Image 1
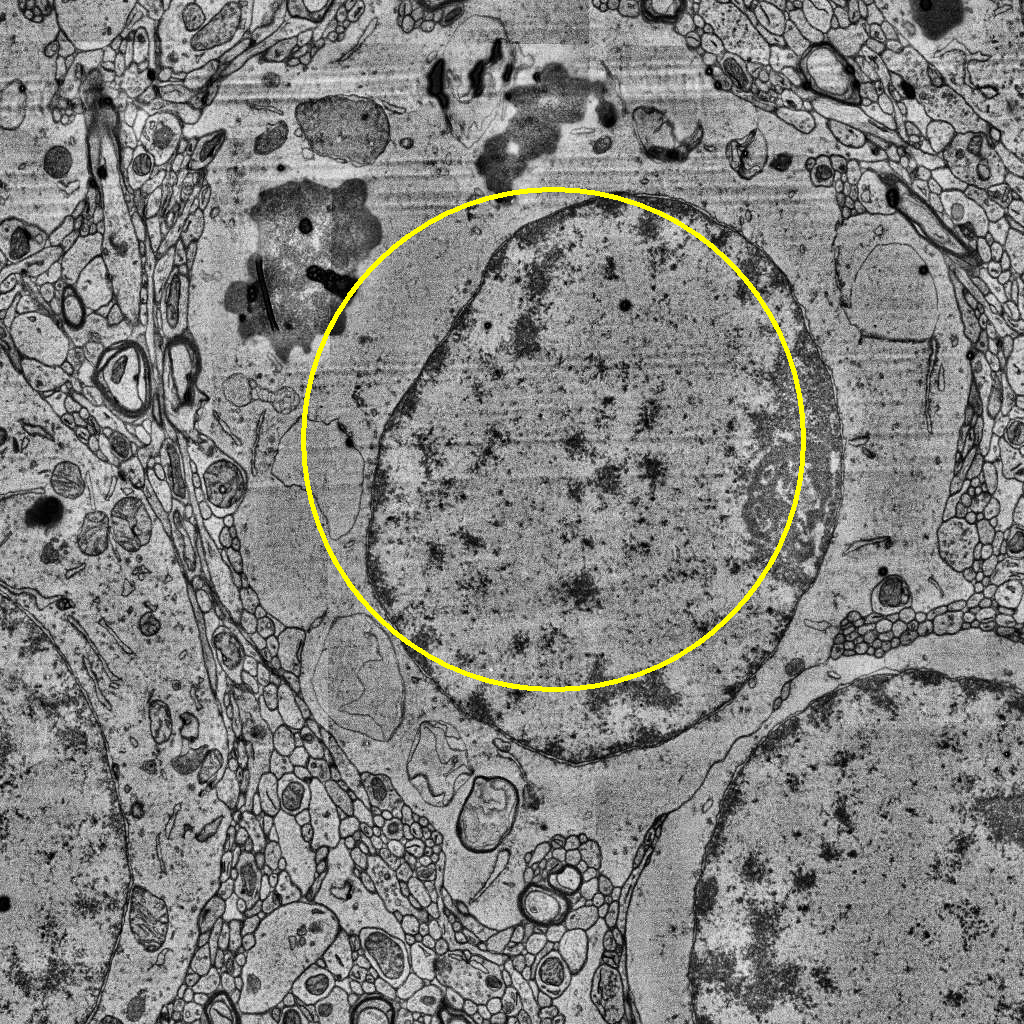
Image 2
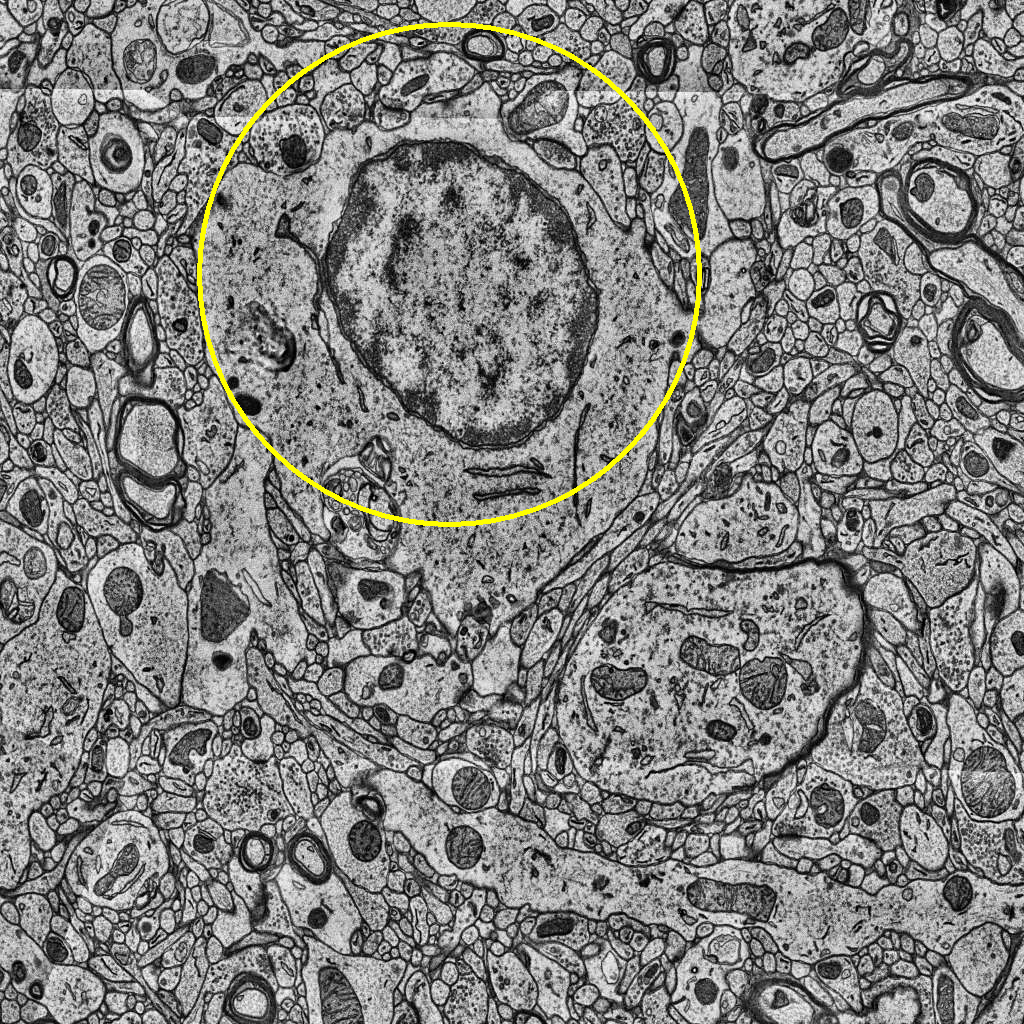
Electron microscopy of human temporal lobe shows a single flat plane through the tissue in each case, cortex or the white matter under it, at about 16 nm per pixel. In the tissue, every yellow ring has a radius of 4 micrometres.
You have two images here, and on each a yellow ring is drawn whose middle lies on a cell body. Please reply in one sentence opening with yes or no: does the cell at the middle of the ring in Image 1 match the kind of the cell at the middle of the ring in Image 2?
No, the two images show cells of two kinds at the centres of their rings.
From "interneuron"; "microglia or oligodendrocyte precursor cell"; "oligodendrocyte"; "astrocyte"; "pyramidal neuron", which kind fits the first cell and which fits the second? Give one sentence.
So the first is an astrocyte, the second a microglial cell or oligodendrocyte precursor cell.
